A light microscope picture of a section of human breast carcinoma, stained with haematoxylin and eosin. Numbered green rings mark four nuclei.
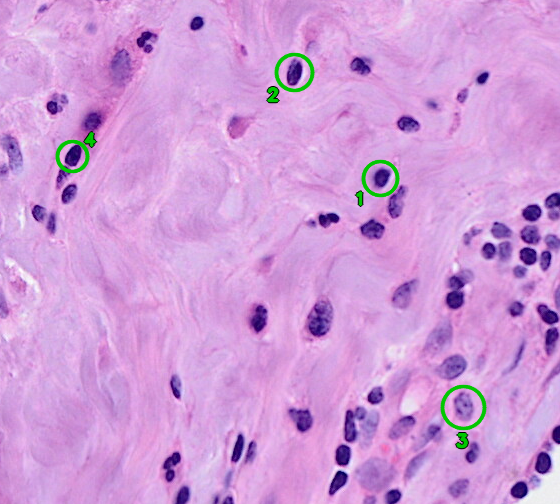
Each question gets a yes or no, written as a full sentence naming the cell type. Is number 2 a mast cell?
No, it is a lymphocyte, not a mast cell, at number 2.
